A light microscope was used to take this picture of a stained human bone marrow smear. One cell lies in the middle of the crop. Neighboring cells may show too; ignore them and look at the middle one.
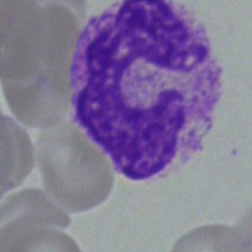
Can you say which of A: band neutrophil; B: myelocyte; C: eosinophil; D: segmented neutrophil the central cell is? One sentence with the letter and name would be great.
The middle cell of the crop is a segmented neutrophil; accordingly, option D is correct.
